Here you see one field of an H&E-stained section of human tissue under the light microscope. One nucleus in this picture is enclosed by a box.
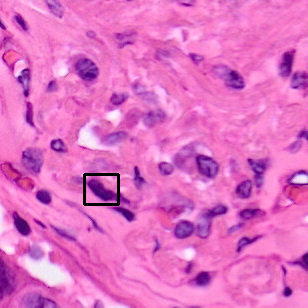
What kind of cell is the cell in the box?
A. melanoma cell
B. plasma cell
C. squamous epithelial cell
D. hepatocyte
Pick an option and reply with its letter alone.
B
